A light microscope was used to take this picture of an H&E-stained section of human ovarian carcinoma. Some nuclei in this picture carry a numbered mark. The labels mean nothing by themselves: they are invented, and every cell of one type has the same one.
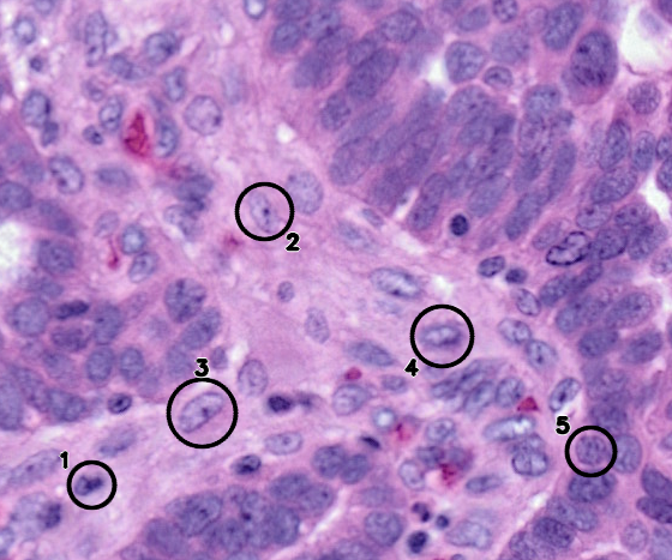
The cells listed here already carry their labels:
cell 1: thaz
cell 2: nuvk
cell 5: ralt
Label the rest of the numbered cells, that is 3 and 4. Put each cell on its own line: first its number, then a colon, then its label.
3: nuvk
4: nuvk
